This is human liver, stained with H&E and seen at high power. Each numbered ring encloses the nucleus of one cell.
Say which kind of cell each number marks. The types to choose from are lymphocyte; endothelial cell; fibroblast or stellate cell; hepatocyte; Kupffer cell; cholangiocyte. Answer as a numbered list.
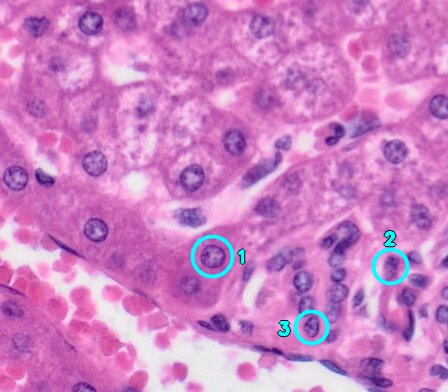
1. hepatocyte
2. fibroblast or stellate cell
3. cholangiocyte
